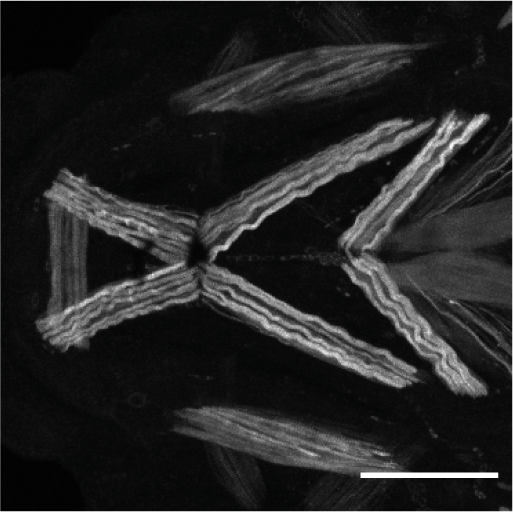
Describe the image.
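Ventral view of larval craniofacial muscles in grey-white on a dark background. A transverse bundle crosses the front, and a pair of longer bundles runs obliquely back from it. Further back the bundles cross the midline in an X-like arrangement, with another pair of bundles diverging behind. Fainter fibre bundles lie at the upper and lower edges of the field.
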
